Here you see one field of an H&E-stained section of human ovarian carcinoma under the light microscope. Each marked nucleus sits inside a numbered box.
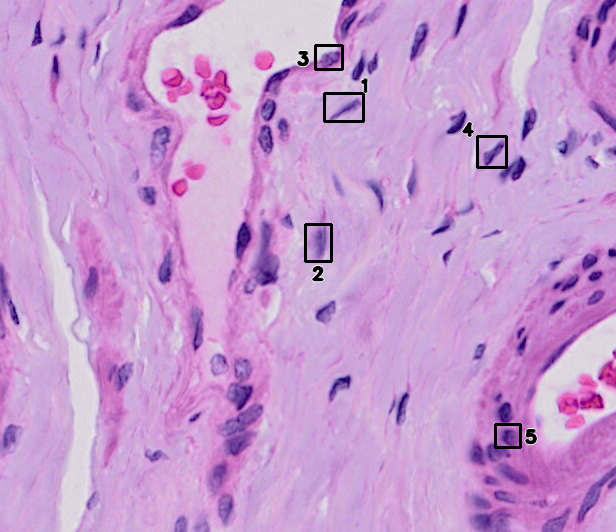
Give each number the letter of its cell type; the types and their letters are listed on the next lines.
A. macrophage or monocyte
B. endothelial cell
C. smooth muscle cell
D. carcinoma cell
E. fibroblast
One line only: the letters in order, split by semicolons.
E; E; B; E; C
